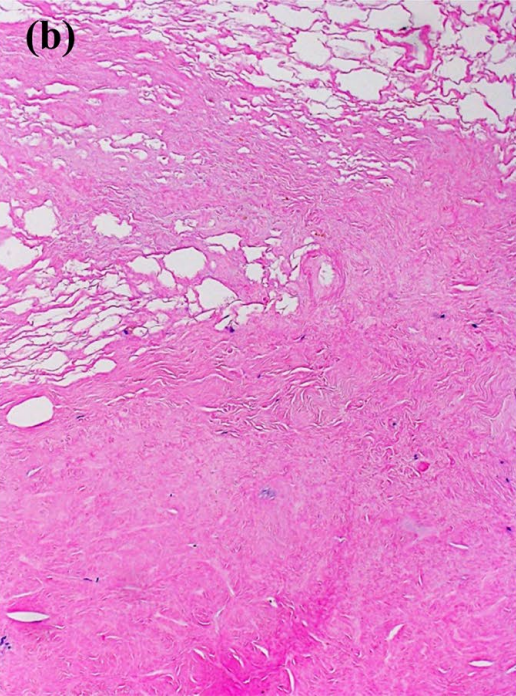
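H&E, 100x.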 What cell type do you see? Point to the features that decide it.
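The upper part shows rounded and angular empty spaces of fat cell size. The spaces have thin, faint pink outlines without visible nuclei.
Answer: shadowy adipocytes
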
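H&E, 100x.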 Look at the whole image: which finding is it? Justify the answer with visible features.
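The lower half is filled with dense, pink, fibrillar tissue. Almost no nuclei are visible in this dense pink tissue.
Cell-poor sclerosis.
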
